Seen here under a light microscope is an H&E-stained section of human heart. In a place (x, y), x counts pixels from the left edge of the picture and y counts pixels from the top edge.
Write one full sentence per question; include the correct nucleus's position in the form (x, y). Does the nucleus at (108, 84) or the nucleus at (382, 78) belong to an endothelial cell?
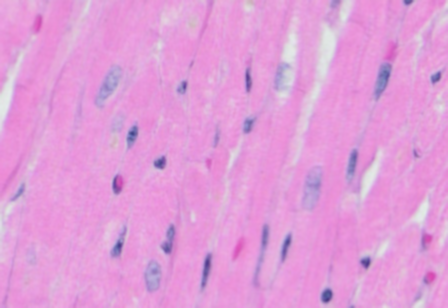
The nucleus at (382, 78) is contained in an endothelial cell.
